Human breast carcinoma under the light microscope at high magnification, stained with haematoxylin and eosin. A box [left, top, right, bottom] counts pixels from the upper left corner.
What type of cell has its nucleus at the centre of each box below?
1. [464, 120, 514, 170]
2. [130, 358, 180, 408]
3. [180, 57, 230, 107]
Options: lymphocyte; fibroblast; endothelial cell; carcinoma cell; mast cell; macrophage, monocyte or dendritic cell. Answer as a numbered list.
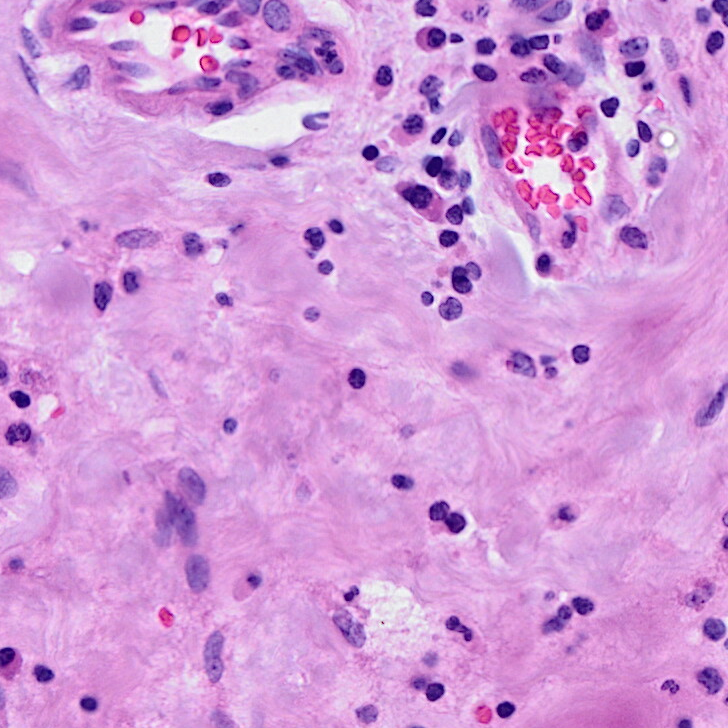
1. endothelial cell
2. fibroblast
3. endothelial cell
